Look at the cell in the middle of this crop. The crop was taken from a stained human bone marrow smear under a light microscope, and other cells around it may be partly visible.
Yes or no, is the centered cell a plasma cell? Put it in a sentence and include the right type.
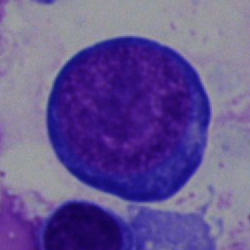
No, the cell in the middle is categorised as a proerythroblast, not a plasma cell.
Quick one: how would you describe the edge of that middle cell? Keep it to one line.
Worth noting that the cell border is smooth and lacks projections.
